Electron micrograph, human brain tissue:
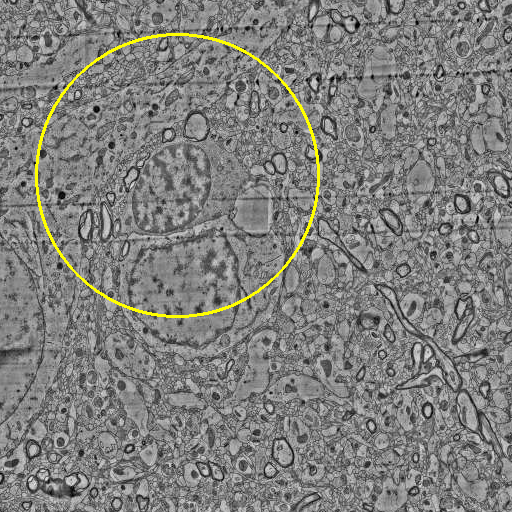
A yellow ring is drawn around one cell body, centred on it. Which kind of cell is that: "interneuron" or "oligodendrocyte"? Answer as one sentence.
It is an oligodendrocyte at the centre of the ring.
